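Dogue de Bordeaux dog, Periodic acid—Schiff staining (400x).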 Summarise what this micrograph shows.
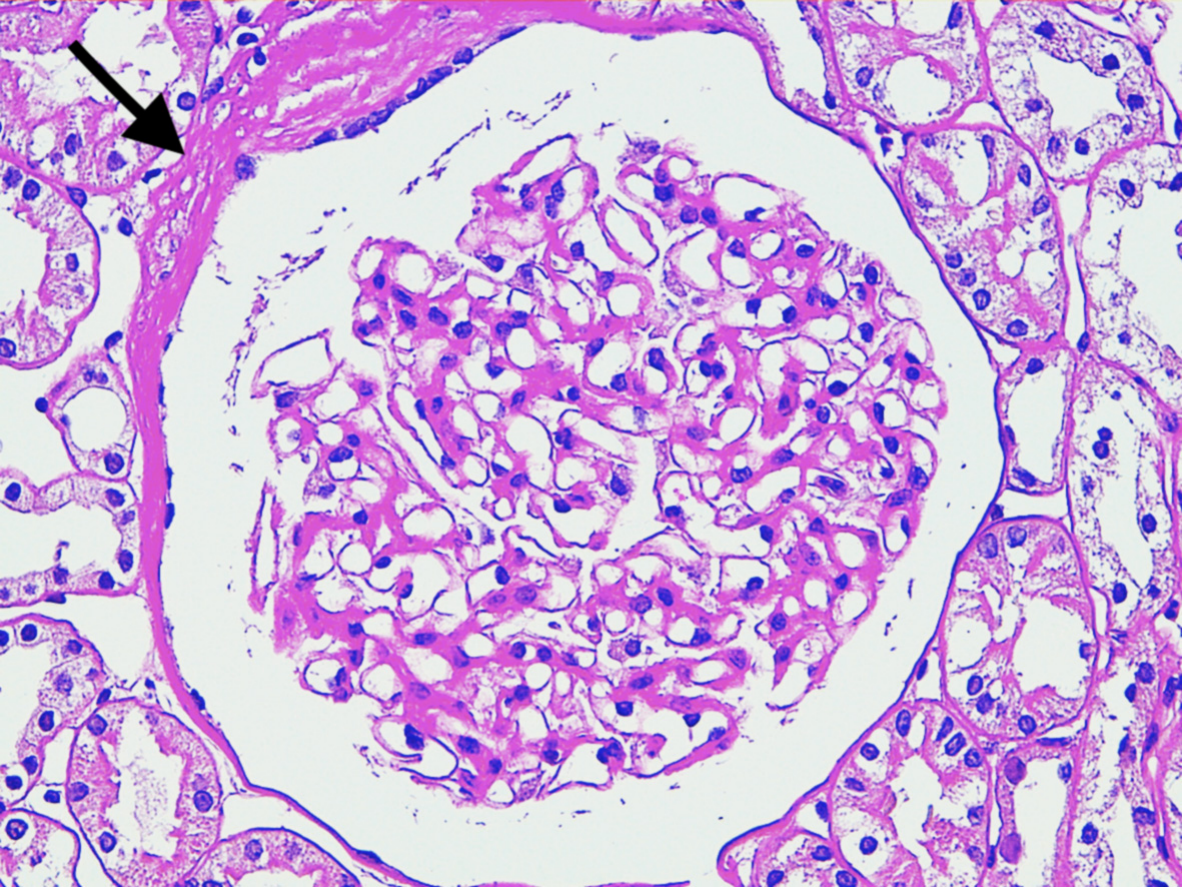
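A kidney glomerulus is seen in the centre: a round tuft of open capillary loops whose walls and the matrix between them stain magenta, with dark blue-purple nuclei scattered through it. The magenta material between the loops looks somewhat abundant across the whole tuft, in keeping with a mild increase of mesangial matrix. A broad clear gap separates the tuft from the enclosing capsule on all sides, so Bowman's space appears widened. Along the upper left the capsule is a thick band of layered magenta fibres with flattened nuclei, much thicker than the thin line it forms elsewhere, which marks thickening of Bowman's capsule. Around the glomerulus lie tubules lined by cuboidal epithelial cells with round nuclei and granular pale pink cytoplasm.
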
